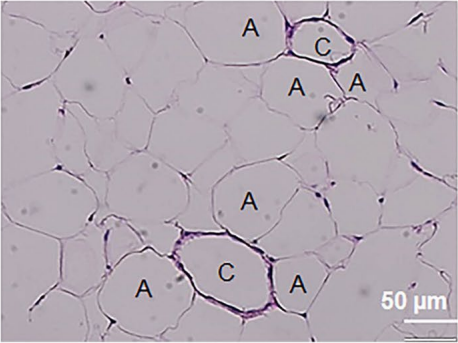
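Large clear polygonal cells with thin pale borders fill the field; this is white adipose tissue composed of adipocytes. Two oval bodies with thick purple-stained walls sit wedged between the fat cells, one near the top and one at the bottom. Their walls are far thicker than the borders between adipocytes.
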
